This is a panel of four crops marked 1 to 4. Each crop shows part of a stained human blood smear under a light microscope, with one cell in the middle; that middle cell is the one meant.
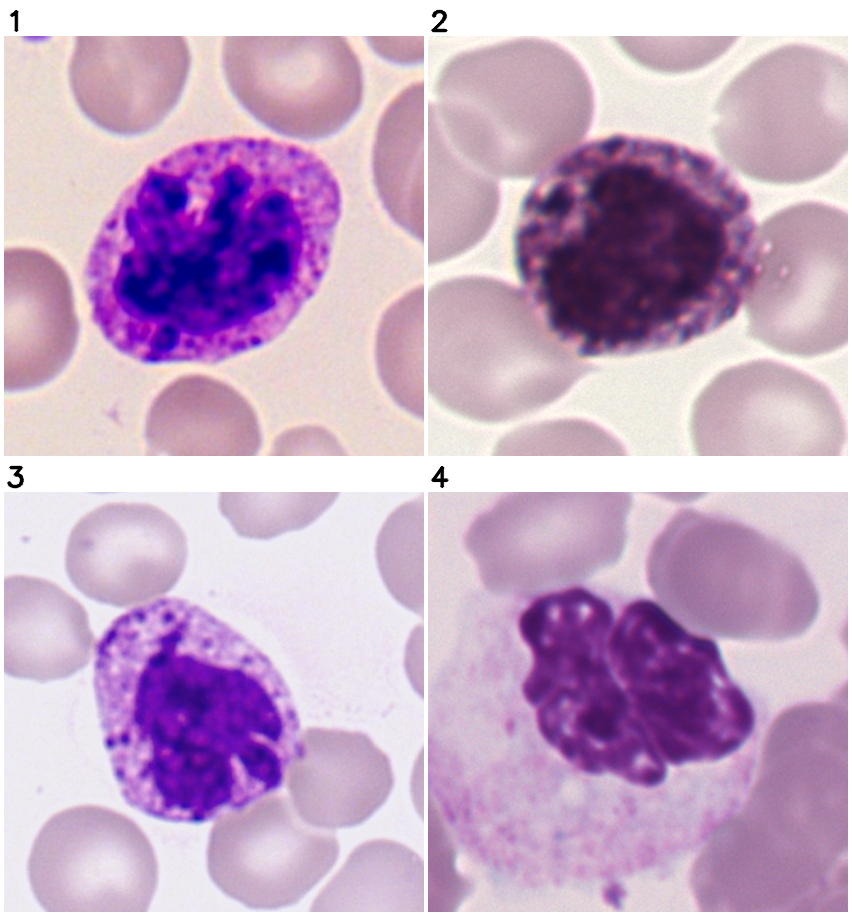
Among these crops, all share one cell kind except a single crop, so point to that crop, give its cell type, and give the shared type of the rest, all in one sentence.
Crop 4 is the odd one out, being a neutrophil, while all the other crops show basophils.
